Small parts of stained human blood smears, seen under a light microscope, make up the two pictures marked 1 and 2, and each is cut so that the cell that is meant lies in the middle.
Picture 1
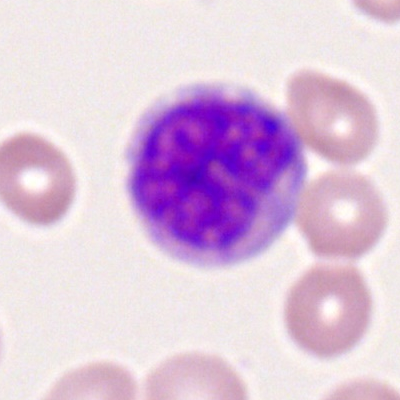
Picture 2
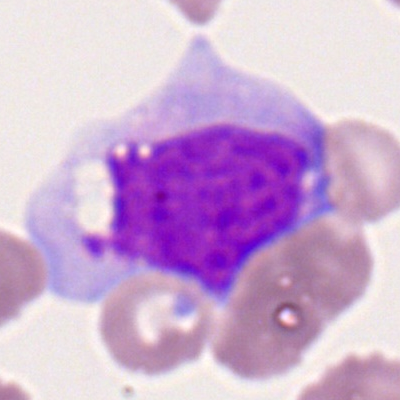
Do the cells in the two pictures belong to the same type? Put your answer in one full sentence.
Yes; the cells in both pictures are monocytes.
